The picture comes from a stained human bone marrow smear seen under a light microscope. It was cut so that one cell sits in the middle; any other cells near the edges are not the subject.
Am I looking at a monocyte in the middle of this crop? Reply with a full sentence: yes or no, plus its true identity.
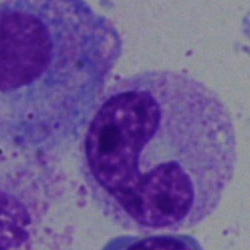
No, the middle of the crop holds a band neutrophil, not a monocyte.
